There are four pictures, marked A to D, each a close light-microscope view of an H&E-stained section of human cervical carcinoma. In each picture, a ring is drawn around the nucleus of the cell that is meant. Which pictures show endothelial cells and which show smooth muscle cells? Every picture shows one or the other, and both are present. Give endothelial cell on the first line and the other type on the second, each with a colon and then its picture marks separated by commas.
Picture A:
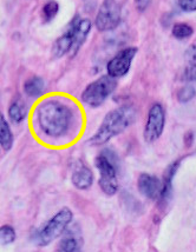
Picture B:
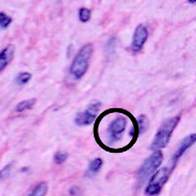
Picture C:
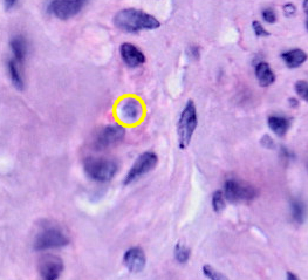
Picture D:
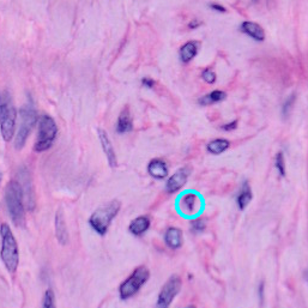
endothelial cell: A, C
smooth muscle cell: B, D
